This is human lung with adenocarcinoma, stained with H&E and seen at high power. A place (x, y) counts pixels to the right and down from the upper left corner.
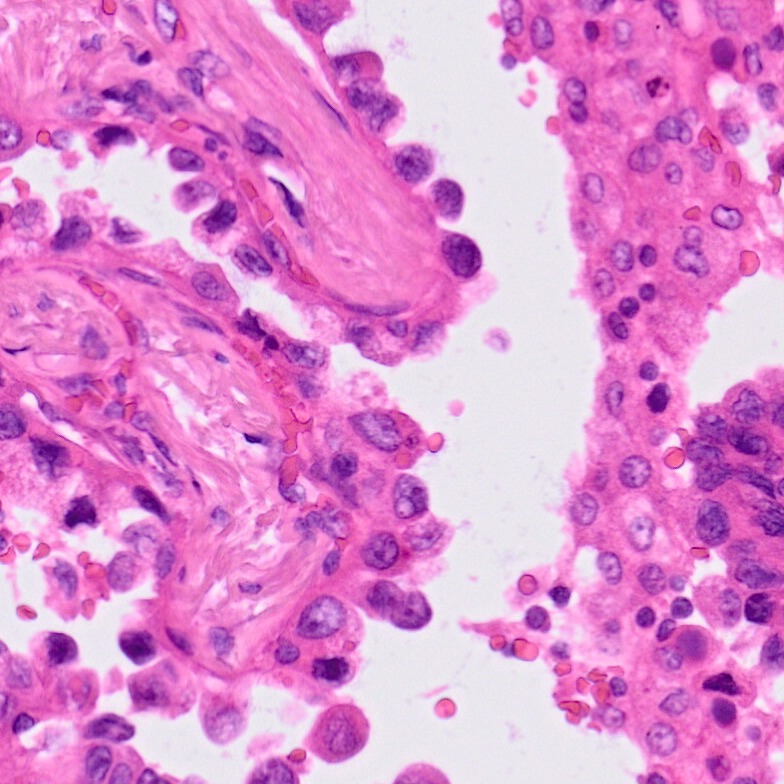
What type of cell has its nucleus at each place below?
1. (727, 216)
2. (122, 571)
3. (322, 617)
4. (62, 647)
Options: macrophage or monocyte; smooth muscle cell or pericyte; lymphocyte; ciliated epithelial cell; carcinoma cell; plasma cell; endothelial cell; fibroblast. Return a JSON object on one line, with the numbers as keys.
{"1": "macrophage or monocyte", "2": "carcinoma cell", "3": "carcinoma cell", "4": "carcinoma cell"}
